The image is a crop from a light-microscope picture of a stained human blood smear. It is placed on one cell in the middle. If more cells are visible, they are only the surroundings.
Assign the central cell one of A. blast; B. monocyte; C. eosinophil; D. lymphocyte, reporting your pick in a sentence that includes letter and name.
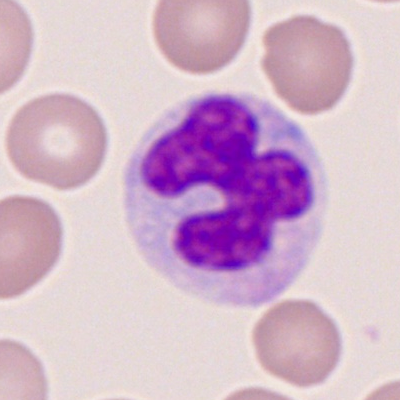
The middle of the crop contains a monocyte, so option B is right.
